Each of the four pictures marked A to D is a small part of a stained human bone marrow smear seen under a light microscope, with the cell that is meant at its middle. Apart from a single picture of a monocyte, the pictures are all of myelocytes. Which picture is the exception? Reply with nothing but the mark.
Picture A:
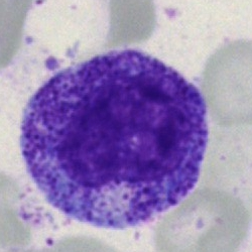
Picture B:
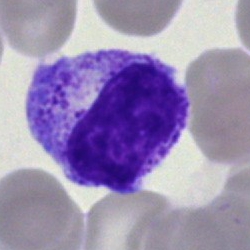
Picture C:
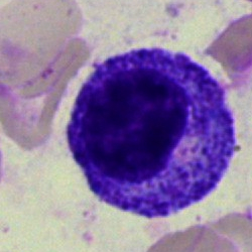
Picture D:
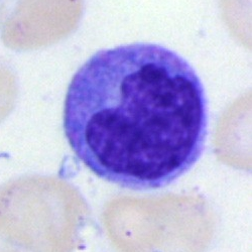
D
